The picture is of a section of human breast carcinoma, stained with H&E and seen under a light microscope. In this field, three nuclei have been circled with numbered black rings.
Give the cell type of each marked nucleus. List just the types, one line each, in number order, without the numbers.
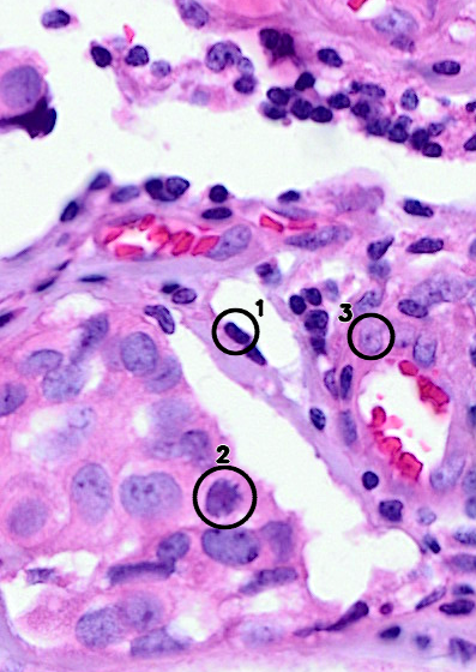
lymphocyte
carcinoma cell
endothelial cell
